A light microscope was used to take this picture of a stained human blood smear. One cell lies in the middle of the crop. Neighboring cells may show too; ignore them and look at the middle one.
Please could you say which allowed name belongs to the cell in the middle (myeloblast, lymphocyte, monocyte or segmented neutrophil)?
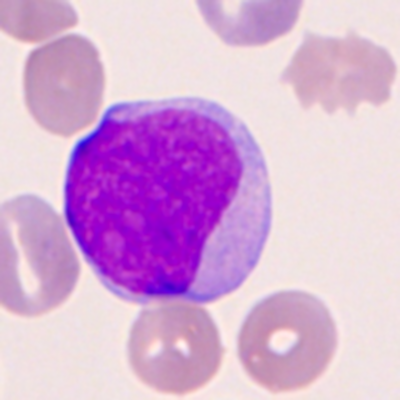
myeloblast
